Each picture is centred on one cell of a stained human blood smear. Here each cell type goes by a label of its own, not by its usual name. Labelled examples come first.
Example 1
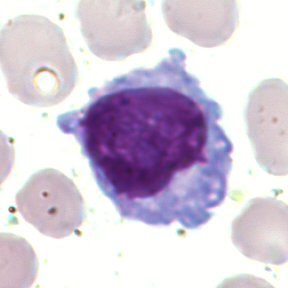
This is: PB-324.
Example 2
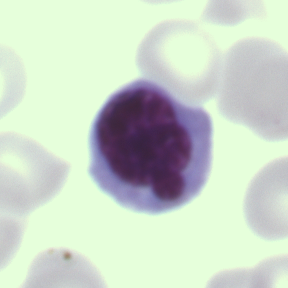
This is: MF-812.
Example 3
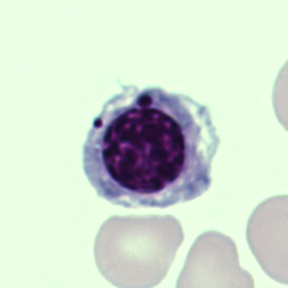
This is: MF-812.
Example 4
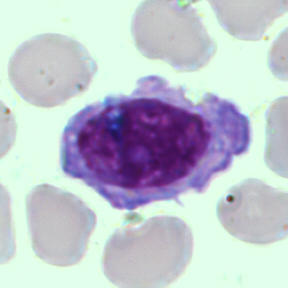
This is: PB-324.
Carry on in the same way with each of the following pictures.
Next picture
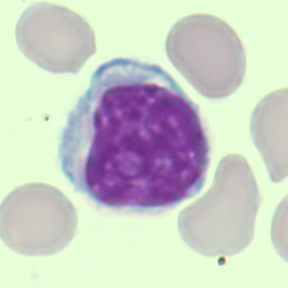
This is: PB-324.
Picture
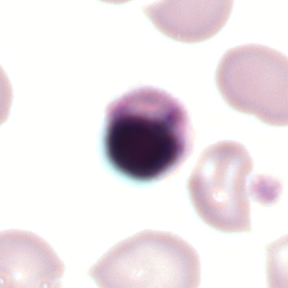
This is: MF-812.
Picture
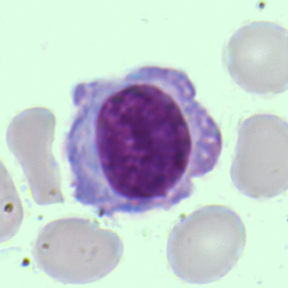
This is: PB-324.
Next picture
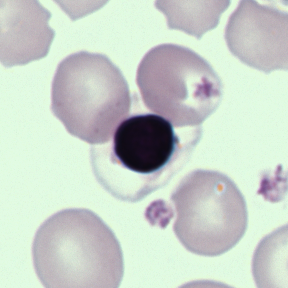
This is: MF-812.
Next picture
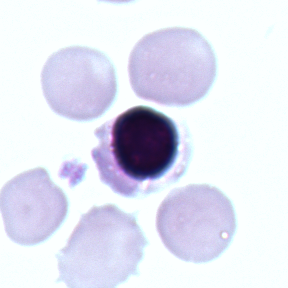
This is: MF-812.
